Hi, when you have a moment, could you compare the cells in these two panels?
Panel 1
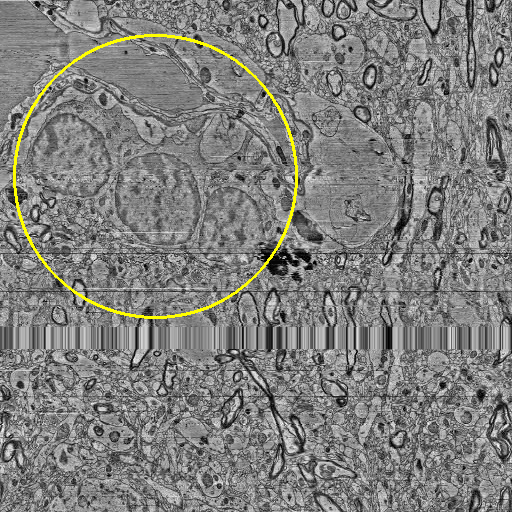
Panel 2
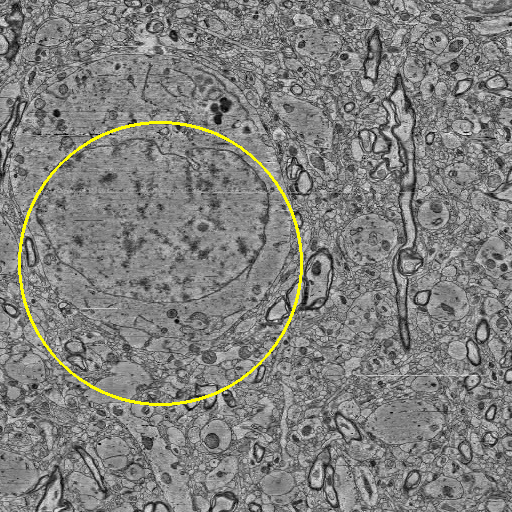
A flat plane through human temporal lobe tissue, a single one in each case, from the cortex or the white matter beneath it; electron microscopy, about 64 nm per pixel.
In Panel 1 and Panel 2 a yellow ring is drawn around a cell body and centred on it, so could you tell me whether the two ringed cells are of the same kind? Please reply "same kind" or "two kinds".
two kinds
